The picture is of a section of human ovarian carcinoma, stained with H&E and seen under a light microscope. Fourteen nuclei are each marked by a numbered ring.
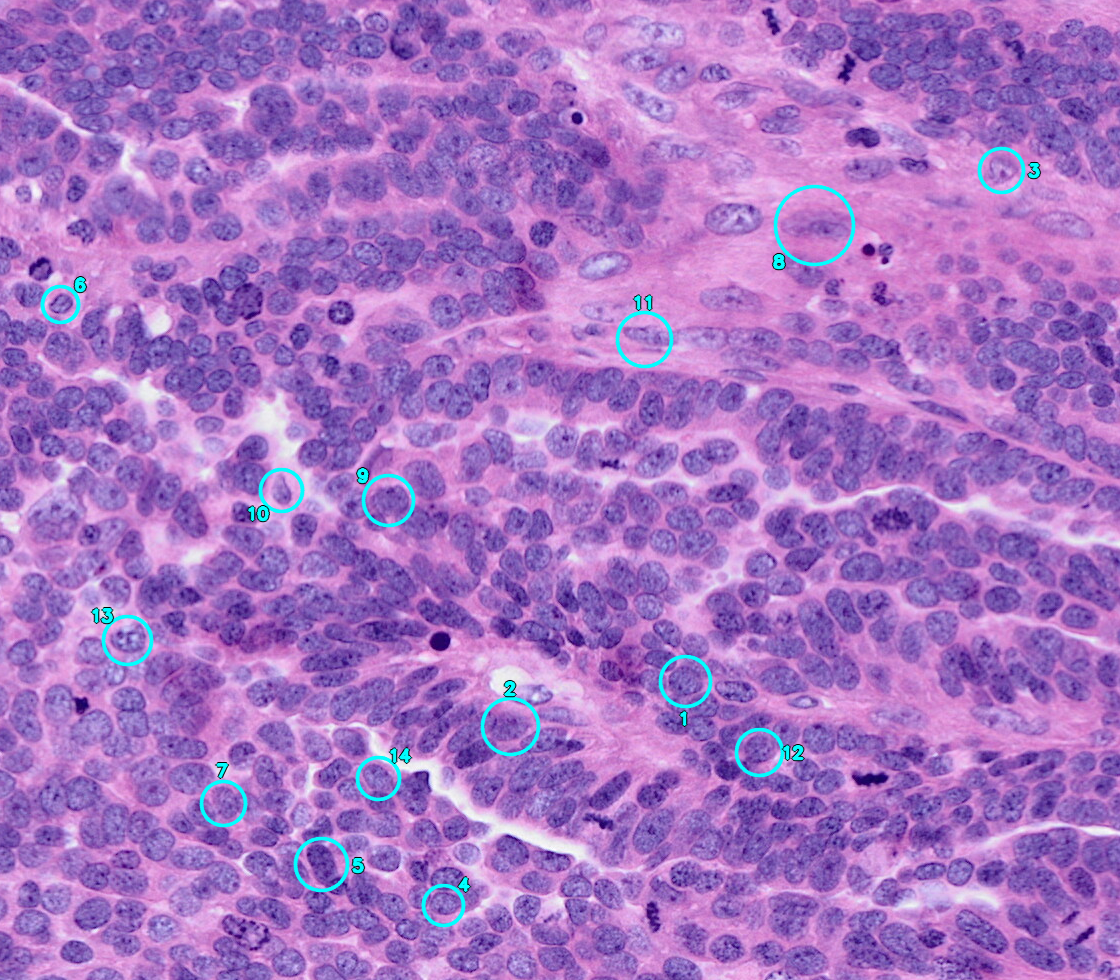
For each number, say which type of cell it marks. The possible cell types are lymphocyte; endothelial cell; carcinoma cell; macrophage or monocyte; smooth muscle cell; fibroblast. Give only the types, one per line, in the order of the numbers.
carcinoma cell
carcinoma cell
fibroblast
carcinoma cell
carcinoma cell
macrophage or monocyte
carcinoma cell
fibroblast
carcinoma cell
macrophage or monocyte
fibroblast
carcinoma cell
macrophage or monocyte
carcinoma cell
